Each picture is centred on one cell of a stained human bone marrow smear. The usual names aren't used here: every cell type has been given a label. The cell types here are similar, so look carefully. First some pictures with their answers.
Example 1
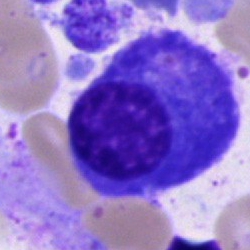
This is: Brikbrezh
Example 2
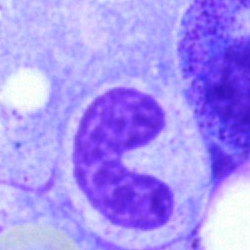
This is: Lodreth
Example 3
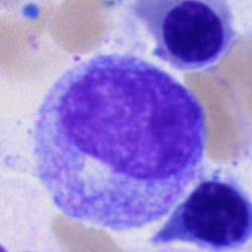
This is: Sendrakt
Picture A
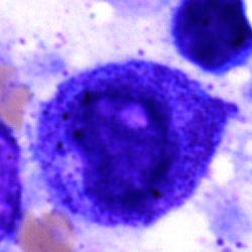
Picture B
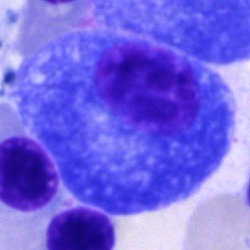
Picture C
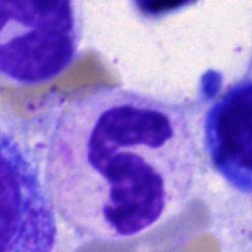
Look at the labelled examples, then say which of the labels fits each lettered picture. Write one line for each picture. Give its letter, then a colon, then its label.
A: Sendrakt
B: Brikbrezh
C: Lodreth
